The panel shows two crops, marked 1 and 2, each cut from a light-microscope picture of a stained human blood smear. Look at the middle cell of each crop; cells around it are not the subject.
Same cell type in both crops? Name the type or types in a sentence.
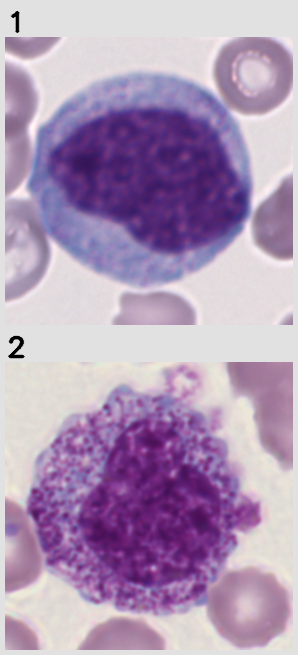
Yes, for both crops, the central cells are promyelocytes.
